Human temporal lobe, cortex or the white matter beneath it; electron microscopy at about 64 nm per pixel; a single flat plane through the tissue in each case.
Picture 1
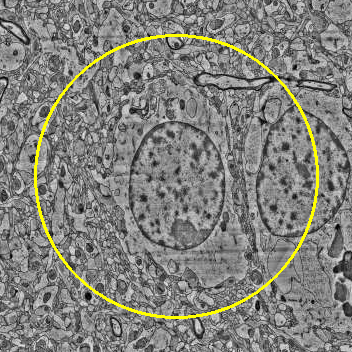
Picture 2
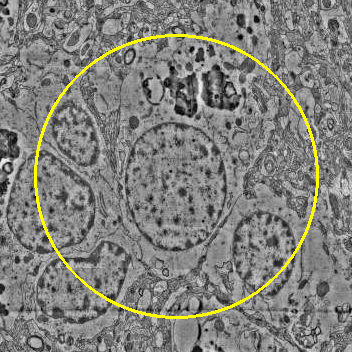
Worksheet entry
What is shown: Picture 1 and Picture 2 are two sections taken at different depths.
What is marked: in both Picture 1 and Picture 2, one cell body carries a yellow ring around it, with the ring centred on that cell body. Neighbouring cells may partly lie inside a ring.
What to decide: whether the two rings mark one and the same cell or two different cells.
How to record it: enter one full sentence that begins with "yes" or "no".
No, the marked cells are two, not one.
